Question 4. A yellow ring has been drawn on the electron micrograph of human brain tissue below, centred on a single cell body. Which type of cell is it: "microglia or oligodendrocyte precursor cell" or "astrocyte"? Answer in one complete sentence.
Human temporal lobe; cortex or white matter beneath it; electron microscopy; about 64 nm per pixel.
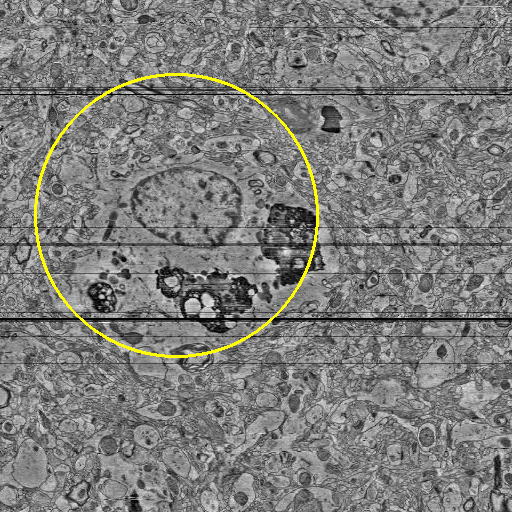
This cell body belongs to an astrocyte.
